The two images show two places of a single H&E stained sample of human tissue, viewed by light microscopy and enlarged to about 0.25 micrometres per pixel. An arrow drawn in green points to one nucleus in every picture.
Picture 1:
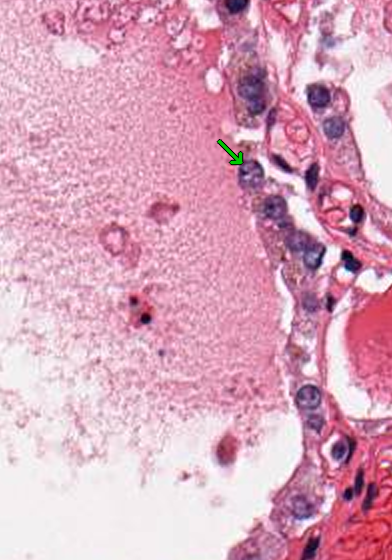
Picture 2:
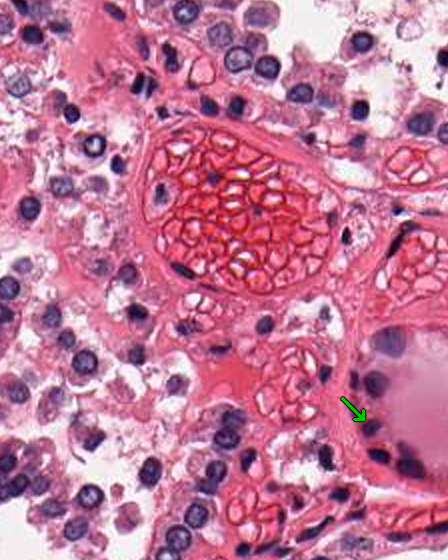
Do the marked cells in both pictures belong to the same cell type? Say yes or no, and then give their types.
Yes, both are thyroid follicular cells.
